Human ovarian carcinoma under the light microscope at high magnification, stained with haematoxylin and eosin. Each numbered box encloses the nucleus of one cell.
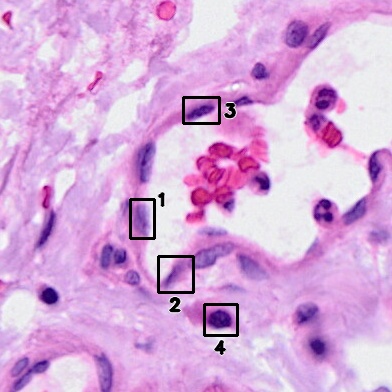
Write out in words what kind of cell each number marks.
Cell 1 is an endothelial cell, cell 2 is an endothelial cell, cell 3 is an endothelial cell and cell 4 is a lymphocyte.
